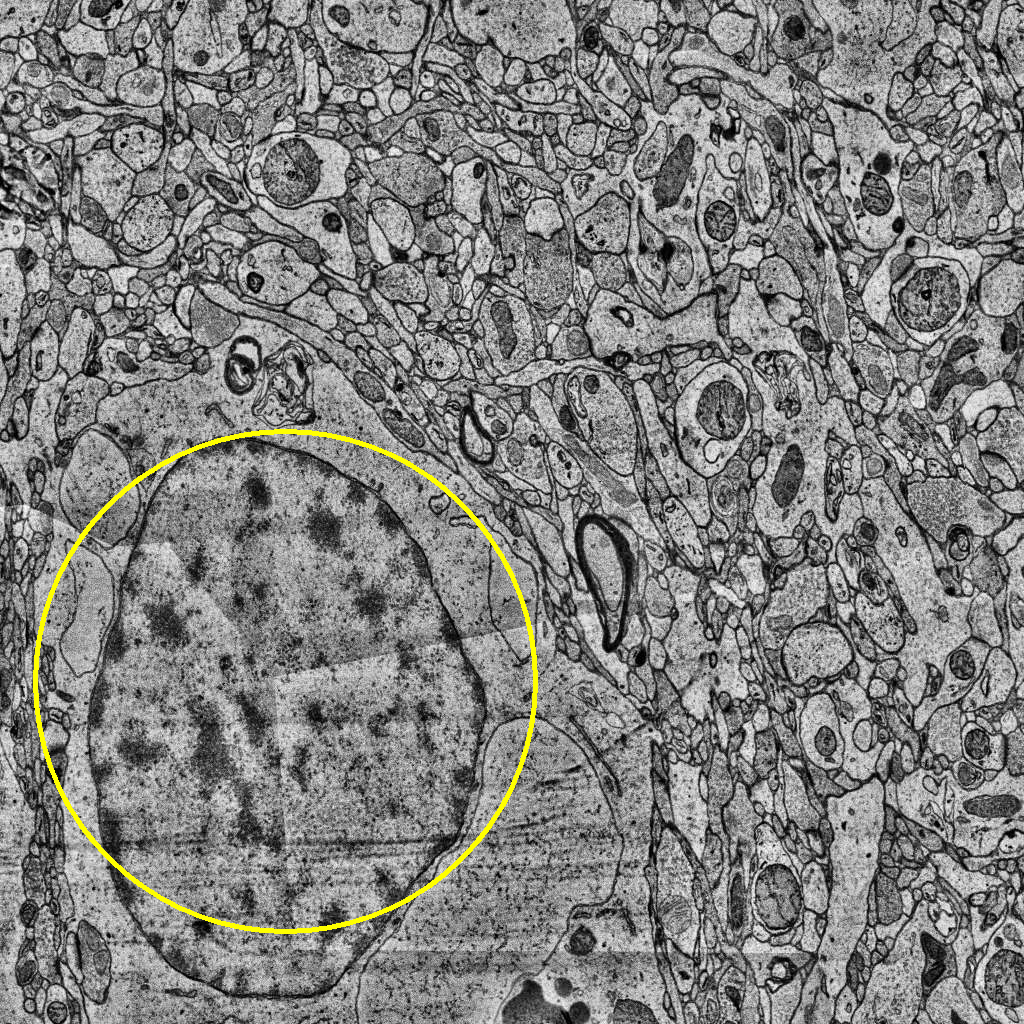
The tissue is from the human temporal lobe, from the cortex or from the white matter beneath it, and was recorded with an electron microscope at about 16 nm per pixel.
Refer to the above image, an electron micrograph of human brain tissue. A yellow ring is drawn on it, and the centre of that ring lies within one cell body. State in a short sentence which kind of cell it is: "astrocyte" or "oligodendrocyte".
The centre of the ring falls on an astrocyte.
